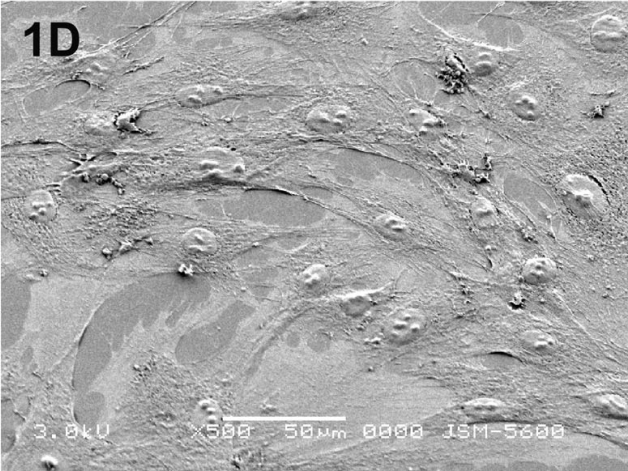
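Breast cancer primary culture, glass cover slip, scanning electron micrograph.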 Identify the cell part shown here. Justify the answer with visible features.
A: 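Many rounded raised domes stand out on the flat cell sheet. Several domes bear small round bumps on their surface. The answer: prominent nuclei with numerous nucleoli.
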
